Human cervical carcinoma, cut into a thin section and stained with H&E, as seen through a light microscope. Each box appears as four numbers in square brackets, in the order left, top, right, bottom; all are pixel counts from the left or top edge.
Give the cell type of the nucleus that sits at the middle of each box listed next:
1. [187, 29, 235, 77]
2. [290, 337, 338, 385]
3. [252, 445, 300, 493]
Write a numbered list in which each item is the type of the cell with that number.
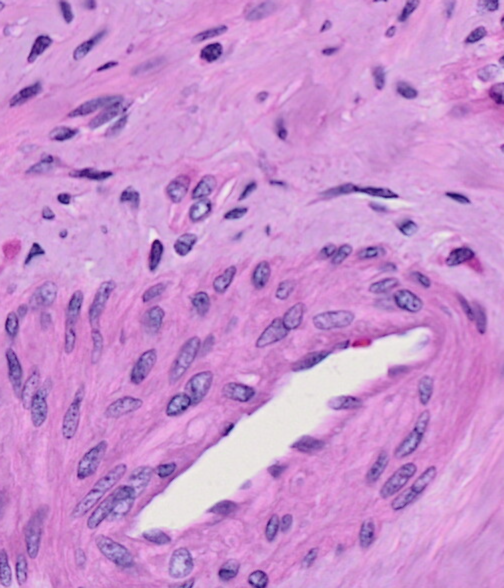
1. lymphocyte
2. endothelial cell
3. endothelial cell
